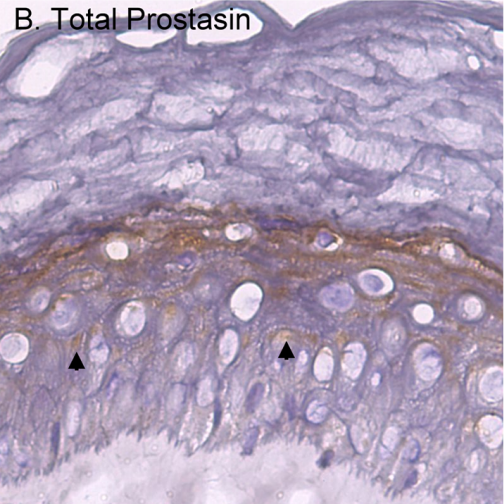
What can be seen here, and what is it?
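This is a stratified squamous epithelium of skin, with a pale, loosely textured connective tissue at the bottom and a thick cornified layer on top. The lower layers hold packed keratinocytes with oval, blue-purple nuclei, many surrounded by clear perinuclear halos, and the cells become larger and flatter toward the surface. A brown deposit runs as a band along the uppermost nucleated layers just beneath the cornified layer, outlining cell borders there, and is faint to absent in the basal layers. Above that band lie many flattened, anucleate, lamellar sheets stained pale blue-grey. Arrowheads point to cells in the middle layers where brown stain outlines individual cell borders.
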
